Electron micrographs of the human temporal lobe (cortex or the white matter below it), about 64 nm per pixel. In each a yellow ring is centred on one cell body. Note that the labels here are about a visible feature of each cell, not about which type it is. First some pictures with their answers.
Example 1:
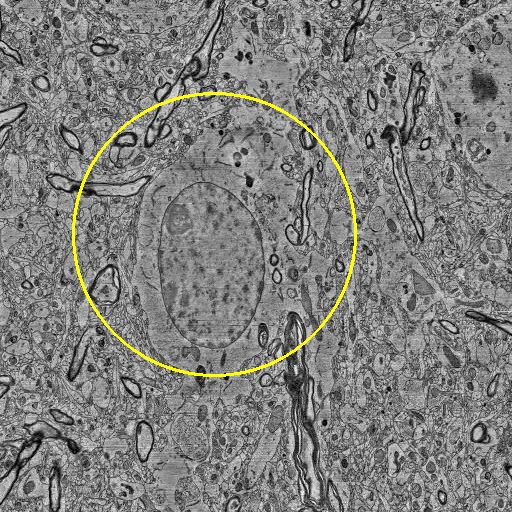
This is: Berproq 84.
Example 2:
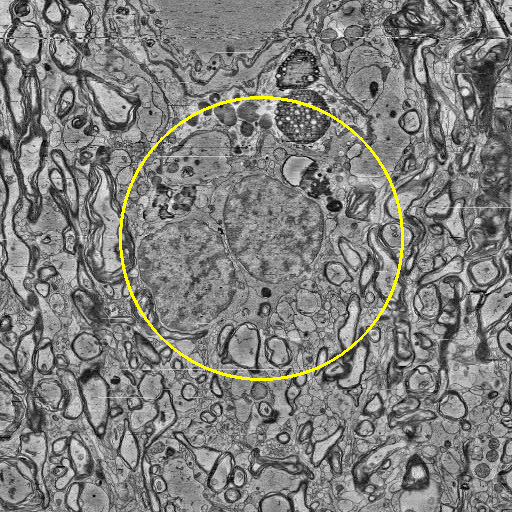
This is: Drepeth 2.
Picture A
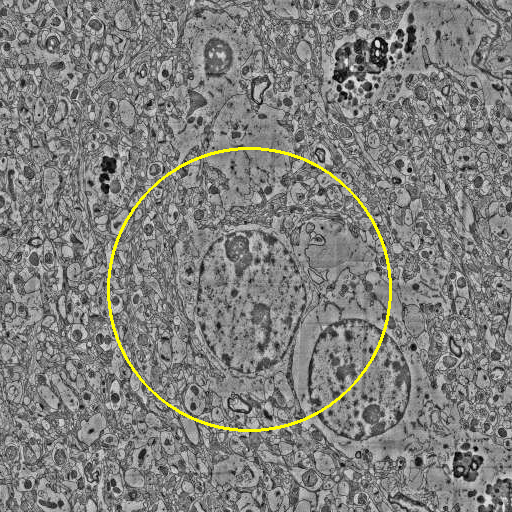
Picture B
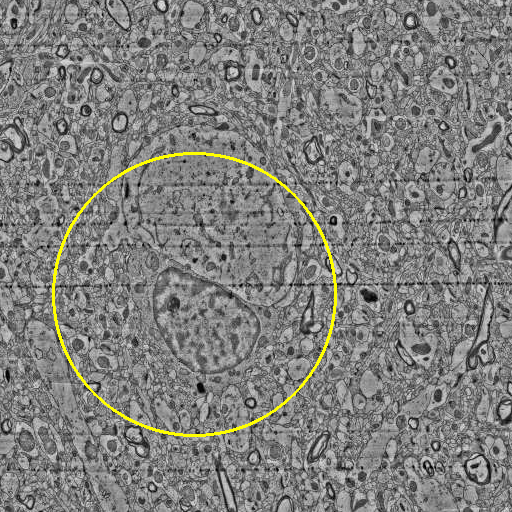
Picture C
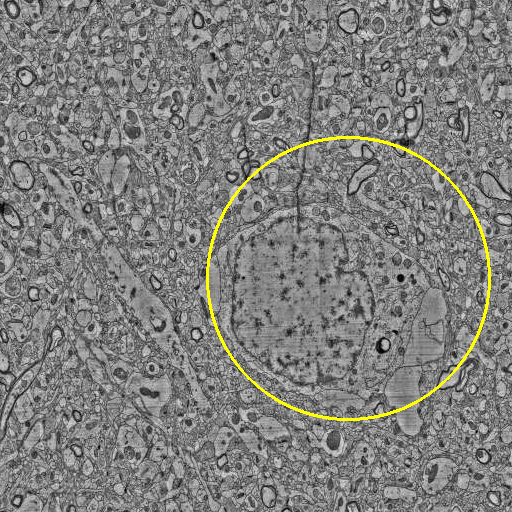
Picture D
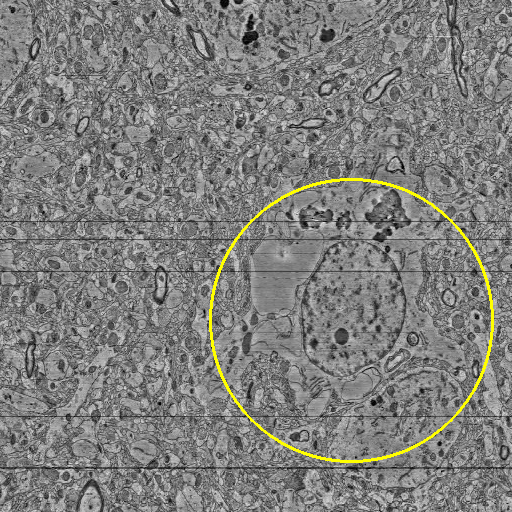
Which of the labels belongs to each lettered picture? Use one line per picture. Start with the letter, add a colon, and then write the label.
A: Berproq 84.
B: Berproq 84.
C: Drepeth 2.
D: Berproq 84.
